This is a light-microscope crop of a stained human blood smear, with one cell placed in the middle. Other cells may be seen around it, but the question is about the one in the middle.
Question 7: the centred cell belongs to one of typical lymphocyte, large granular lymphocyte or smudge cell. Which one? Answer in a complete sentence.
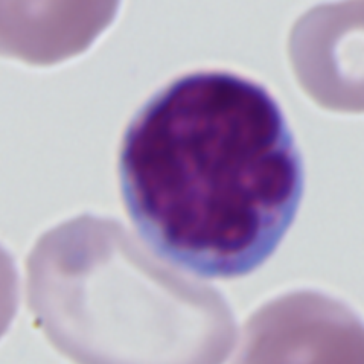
As for the cell in the middle, it is a typical lymphocyte.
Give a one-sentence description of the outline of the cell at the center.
The edge of the cell is unbroken and smooth, bearing no projections.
